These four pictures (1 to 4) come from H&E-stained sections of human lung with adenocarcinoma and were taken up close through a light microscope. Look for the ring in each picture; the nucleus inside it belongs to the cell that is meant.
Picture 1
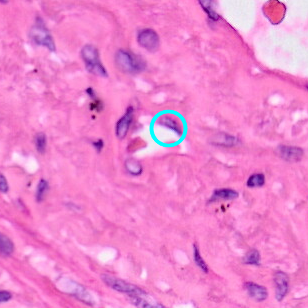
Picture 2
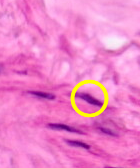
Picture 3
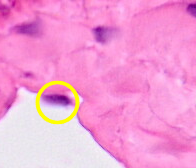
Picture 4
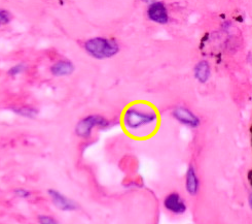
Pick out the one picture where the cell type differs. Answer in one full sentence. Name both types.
The different one is picture 2; it shows a “smooth muscle cell or pericyte”, whereas all the others show endothelial cells.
